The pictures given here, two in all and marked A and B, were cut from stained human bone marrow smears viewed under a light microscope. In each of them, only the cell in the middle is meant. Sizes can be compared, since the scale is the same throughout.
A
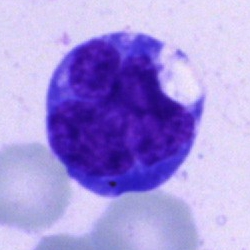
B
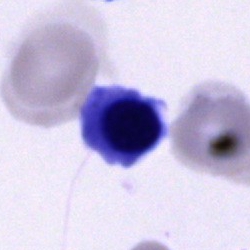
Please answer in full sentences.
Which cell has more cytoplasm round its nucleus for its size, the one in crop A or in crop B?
It is the cell in crop B that is filled less by its nucleus.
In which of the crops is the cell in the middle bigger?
It is the cell in crop A, about 3 times as large in area as the cell in crop B.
